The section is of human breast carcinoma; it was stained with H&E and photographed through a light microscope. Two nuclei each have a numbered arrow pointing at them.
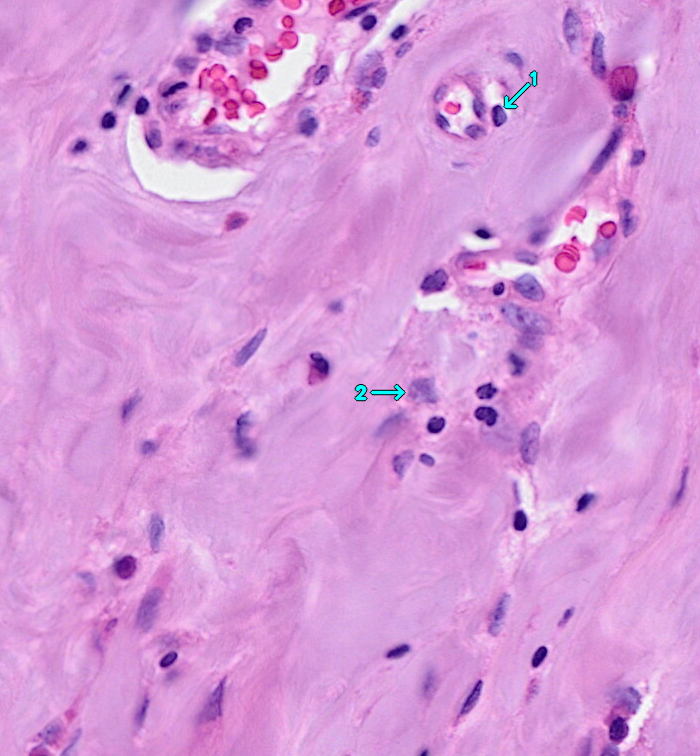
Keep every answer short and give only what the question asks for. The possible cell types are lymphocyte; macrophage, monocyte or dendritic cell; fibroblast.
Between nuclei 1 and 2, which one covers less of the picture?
1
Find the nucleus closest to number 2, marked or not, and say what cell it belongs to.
lymphocyte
